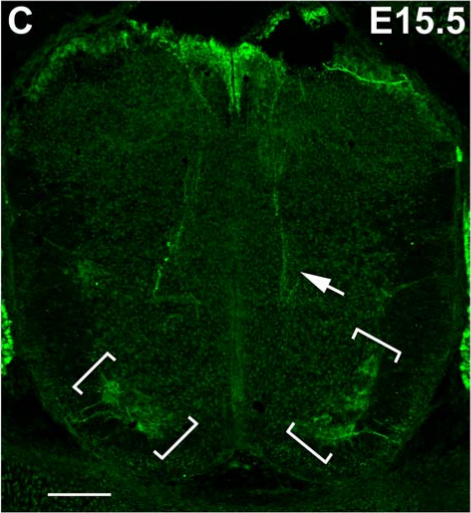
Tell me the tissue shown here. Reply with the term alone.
Spinal cord.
